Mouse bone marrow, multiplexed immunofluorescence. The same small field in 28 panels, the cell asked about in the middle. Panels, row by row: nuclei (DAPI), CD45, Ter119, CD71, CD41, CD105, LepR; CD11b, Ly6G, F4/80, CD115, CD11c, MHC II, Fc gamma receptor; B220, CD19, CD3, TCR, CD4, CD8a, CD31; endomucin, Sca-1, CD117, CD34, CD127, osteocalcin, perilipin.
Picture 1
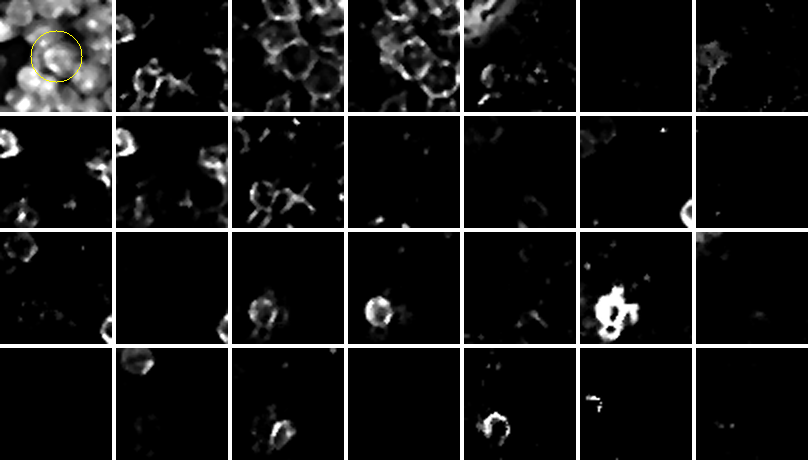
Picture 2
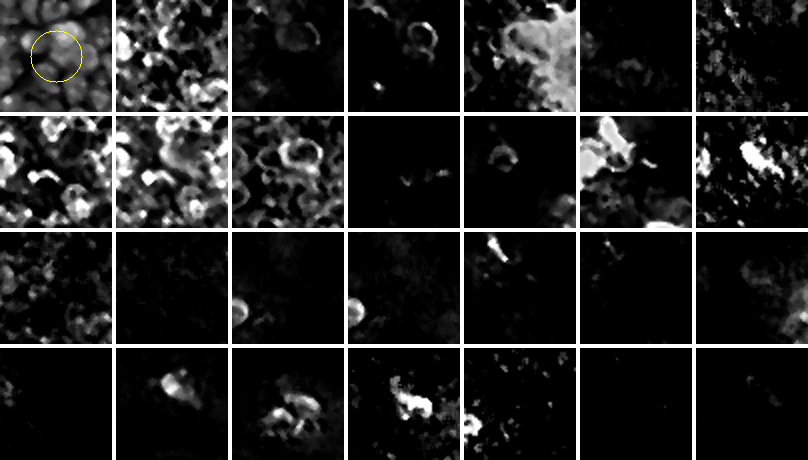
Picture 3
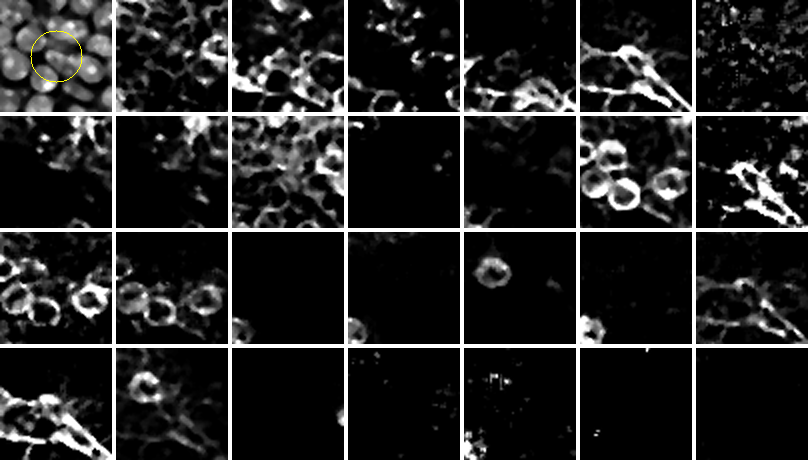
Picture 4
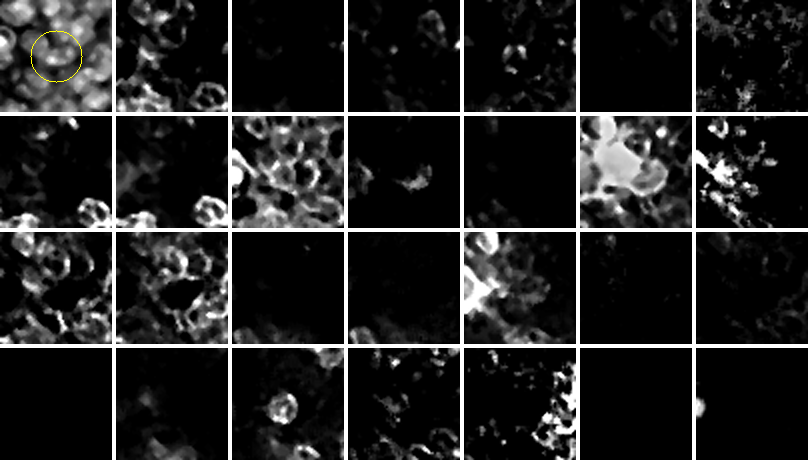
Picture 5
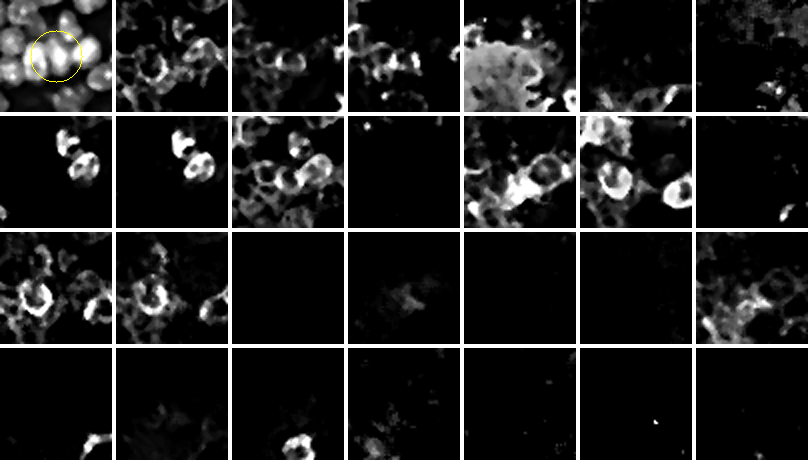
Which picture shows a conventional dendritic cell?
Picture 5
